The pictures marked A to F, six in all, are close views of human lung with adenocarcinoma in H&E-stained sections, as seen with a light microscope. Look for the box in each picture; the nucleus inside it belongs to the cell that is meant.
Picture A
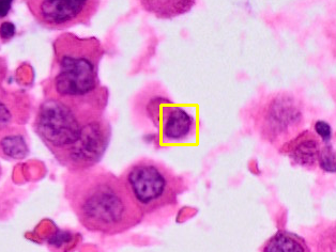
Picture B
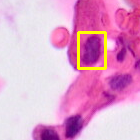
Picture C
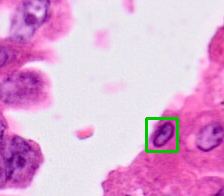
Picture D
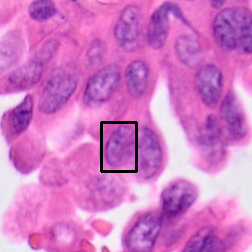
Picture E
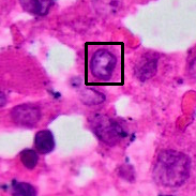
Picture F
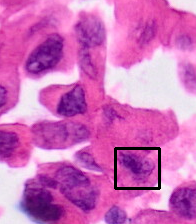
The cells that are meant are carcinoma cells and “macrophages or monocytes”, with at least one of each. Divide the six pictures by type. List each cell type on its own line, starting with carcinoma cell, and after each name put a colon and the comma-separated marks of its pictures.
carcinoma cell: D, F
macrophage or monocyte: A, B, C, E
